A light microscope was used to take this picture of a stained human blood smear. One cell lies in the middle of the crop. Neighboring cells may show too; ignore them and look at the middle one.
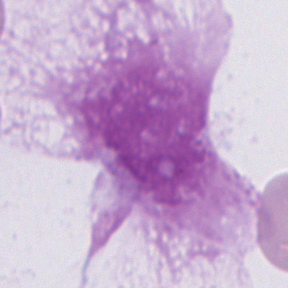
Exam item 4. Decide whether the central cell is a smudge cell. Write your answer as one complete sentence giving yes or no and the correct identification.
Yes, the cell of interest in the centre is a smudge cell.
